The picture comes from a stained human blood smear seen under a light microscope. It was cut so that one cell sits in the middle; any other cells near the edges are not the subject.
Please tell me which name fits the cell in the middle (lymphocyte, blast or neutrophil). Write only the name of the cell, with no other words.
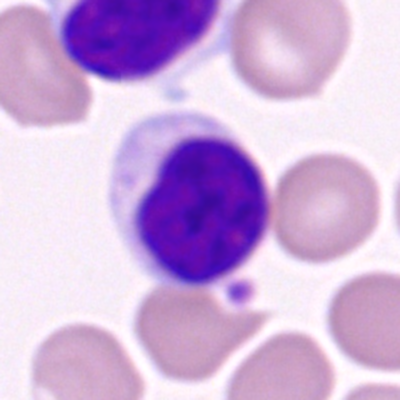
lymphocyte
